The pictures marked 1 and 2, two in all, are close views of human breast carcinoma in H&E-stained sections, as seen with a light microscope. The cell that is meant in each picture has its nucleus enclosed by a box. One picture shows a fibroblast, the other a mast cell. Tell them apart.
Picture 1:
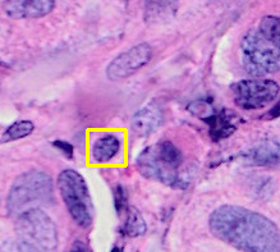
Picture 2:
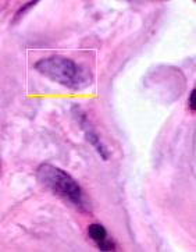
1: mast cell
2: fibroblast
